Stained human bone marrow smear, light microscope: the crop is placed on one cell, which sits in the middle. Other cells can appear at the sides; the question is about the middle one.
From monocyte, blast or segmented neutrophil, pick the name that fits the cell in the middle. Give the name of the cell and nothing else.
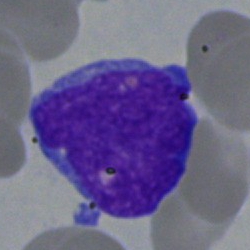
blast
